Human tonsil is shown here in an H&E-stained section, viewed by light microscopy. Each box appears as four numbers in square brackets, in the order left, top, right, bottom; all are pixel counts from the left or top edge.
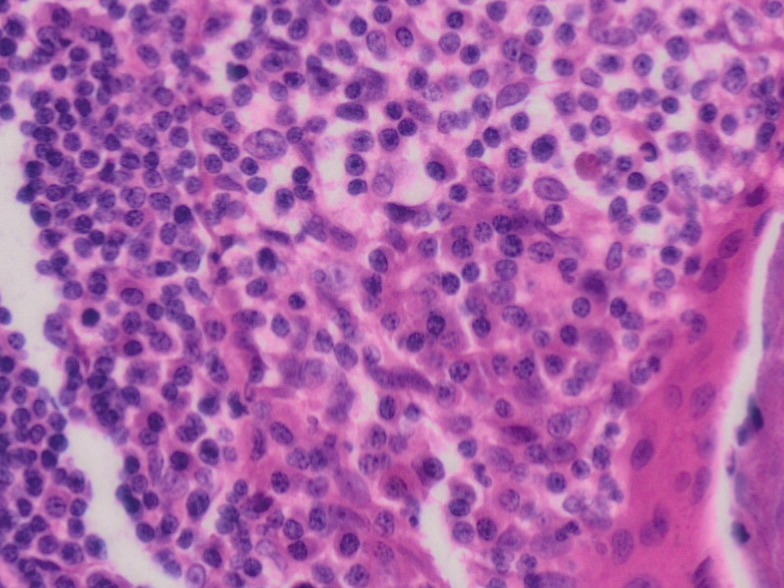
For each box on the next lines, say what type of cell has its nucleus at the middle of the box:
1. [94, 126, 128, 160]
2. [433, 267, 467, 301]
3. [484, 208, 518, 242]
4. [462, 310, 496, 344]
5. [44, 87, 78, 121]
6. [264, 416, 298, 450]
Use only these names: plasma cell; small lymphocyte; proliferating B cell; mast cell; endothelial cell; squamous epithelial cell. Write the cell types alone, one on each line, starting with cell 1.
small lymphocyte
plasma cell
plasma cell
plasma cell
small lymphocyte
plasma cell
